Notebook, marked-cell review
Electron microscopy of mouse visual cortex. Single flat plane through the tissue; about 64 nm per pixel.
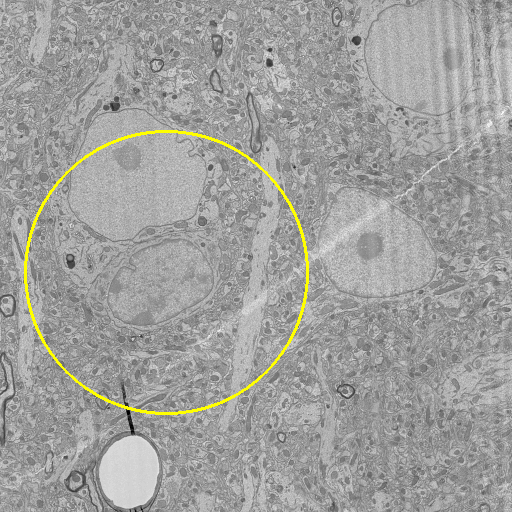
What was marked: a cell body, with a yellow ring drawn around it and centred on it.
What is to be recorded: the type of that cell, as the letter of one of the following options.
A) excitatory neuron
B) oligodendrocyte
B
